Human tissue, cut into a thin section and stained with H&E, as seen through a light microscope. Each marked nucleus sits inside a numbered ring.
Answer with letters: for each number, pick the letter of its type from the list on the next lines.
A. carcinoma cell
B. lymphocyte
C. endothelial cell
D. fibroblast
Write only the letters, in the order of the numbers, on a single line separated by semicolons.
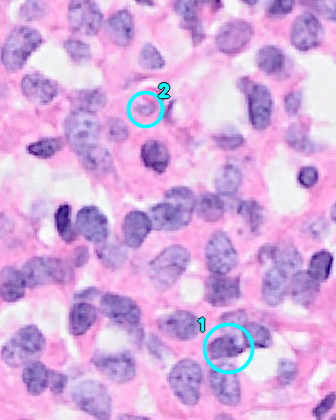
A; C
